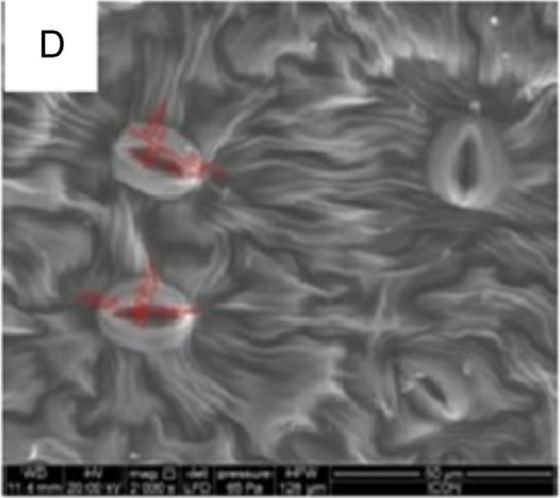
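Fine wavy folds of the surface radiate around each stoma. The stomata lie scattered across the epidermis, separated by regions of ridged surface.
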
